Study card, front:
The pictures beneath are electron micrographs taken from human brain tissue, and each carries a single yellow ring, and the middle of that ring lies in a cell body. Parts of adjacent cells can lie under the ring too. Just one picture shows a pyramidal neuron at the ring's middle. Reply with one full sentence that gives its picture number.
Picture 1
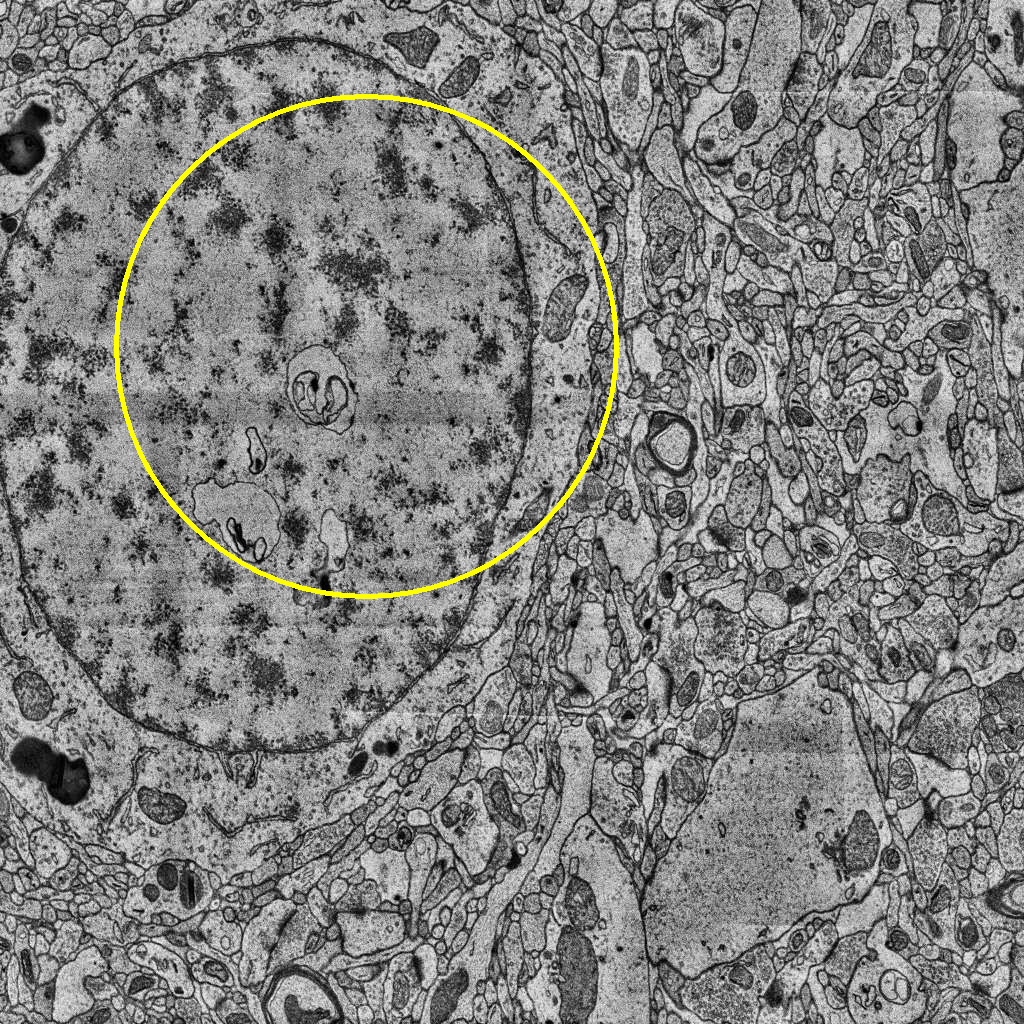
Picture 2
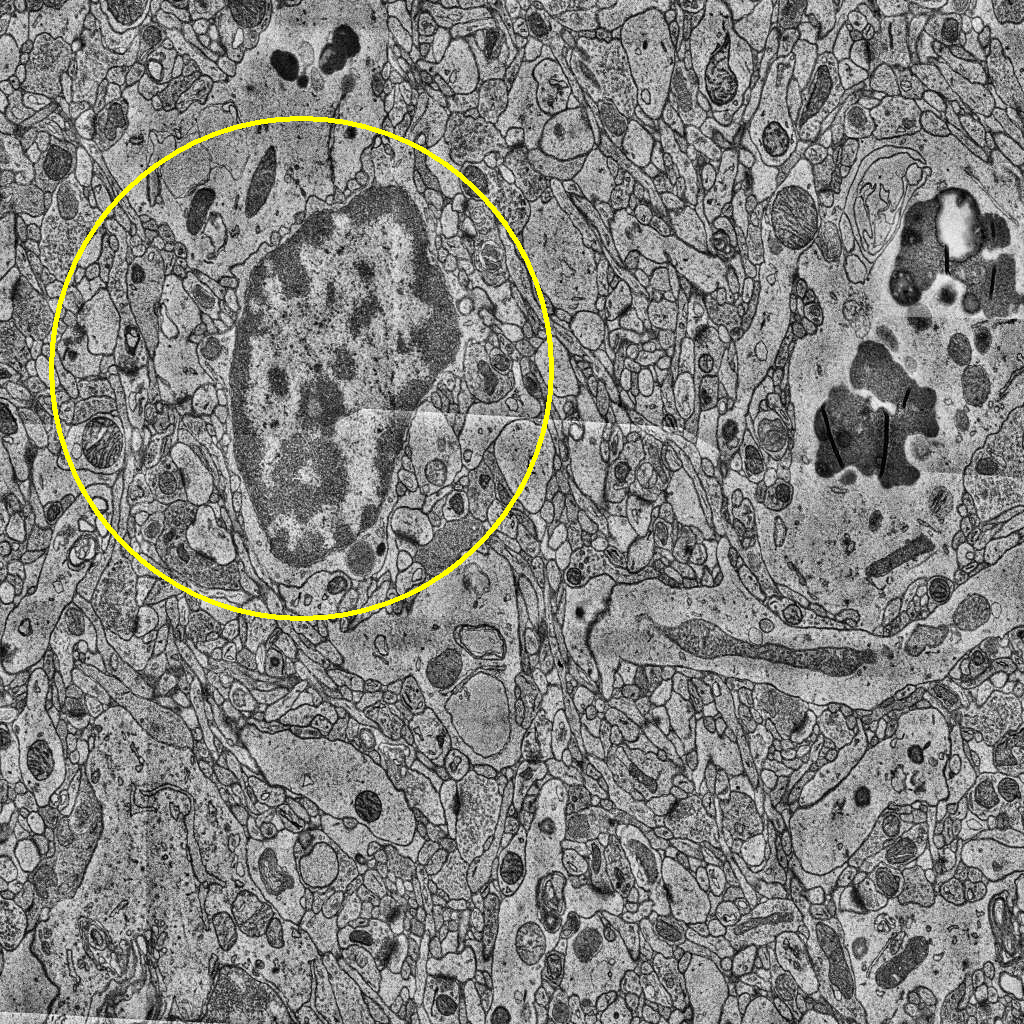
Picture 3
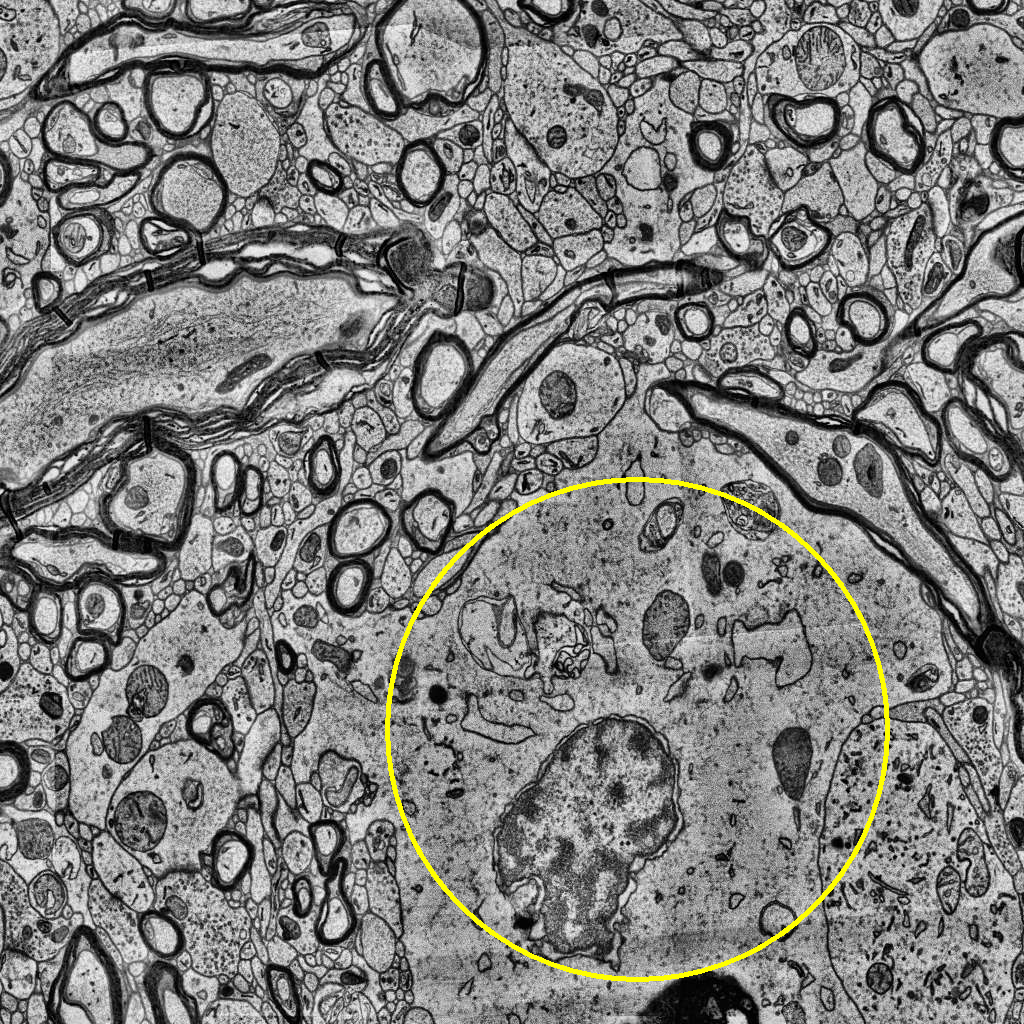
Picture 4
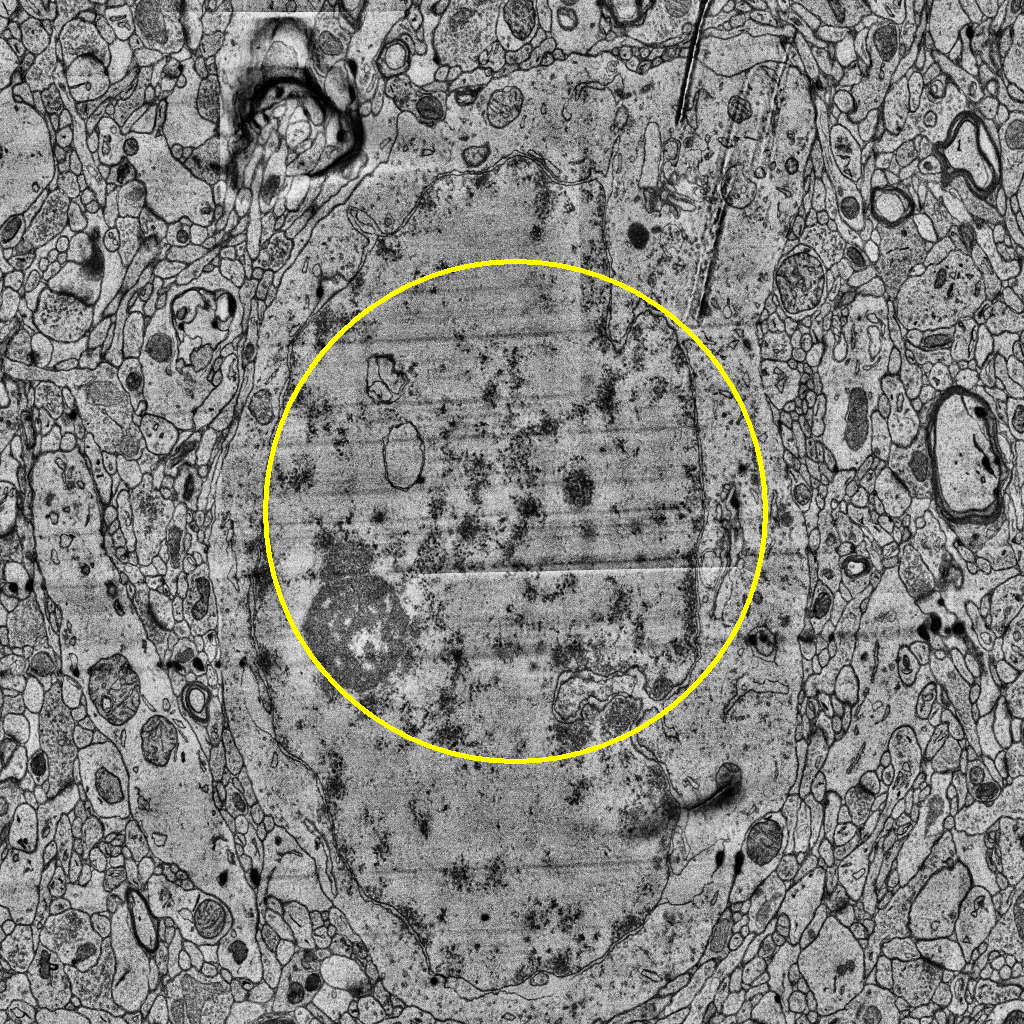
Picture 1 is the one whose ring has its centre within the requested cell.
